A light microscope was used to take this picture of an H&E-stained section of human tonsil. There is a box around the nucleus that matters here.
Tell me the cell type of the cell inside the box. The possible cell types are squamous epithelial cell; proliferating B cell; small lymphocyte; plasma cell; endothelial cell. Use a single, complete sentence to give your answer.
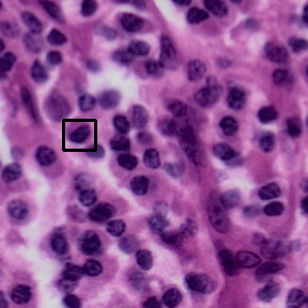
As to its cell type, the cell inside the box is a plasma cell.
